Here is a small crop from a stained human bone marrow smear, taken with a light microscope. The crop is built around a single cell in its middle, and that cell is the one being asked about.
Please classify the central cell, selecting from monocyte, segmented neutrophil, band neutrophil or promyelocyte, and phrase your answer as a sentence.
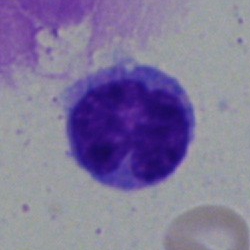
The cell marked by its central position in the crop is a monocyte.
